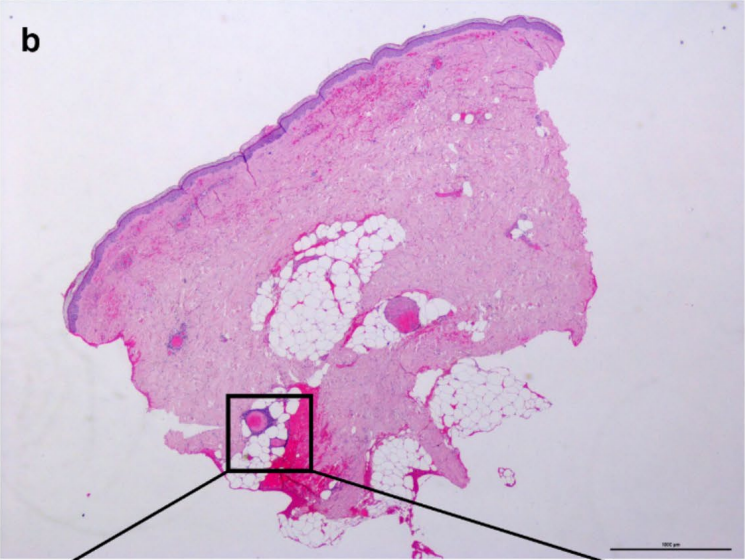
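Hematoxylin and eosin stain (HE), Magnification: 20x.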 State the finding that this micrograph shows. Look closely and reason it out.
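Extravasation of erythrocytes. A bright red patch spreads through the tissue at the lower edge among the fat lobules, outside any vessel outline.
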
